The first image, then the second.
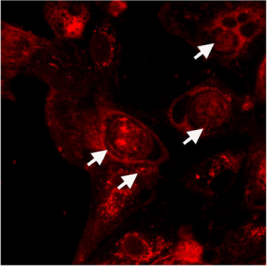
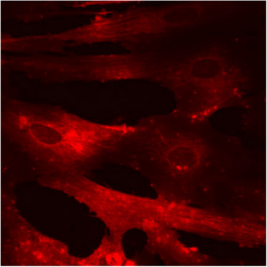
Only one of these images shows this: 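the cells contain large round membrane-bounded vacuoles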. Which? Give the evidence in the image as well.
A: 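First image: several cells hold large round compartments rimmed by bright red membrane. Second image: elongated spread cells with diffuse red cytoplasm and no large round compartments.
Answer: the first image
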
